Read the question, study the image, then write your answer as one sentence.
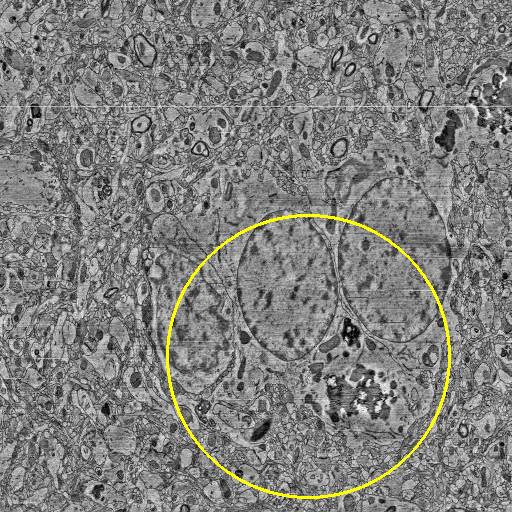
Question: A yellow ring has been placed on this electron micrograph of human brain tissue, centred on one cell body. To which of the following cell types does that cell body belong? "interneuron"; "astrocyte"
That cell body belongs to an astrocyte.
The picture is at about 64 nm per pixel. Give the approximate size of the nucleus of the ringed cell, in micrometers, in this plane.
About 10 by 6 micrometers; the nucleus is clearly longer than it is wide in this plane.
